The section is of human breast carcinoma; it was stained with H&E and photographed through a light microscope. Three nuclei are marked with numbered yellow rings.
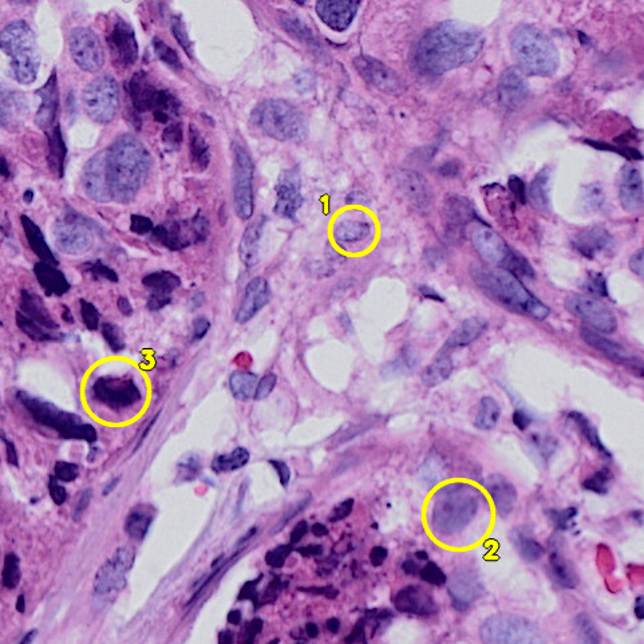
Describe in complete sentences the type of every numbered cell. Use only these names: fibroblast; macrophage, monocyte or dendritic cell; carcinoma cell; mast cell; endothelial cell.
Cell 1 is a macrophage, monocyte or dendritic cell, cell 2 is a carcinoma cell and cell 3 is a carcinoma cell.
